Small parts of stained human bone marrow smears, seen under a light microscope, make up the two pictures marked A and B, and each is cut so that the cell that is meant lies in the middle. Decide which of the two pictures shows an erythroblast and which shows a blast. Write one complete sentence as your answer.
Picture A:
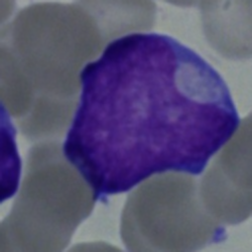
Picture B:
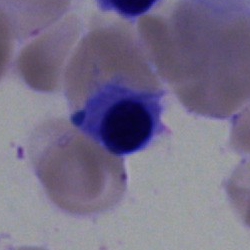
The cell in picture A is a blast, and the one in picture B is an erythroblast.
